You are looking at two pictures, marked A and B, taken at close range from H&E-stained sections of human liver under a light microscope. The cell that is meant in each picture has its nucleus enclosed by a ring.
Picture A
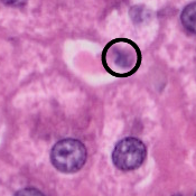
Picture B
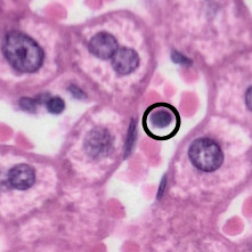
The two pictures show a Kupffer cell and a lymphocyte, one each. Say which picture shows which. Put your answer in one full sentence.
The cell in picture A is a Kupffer cell, and the one in picture B is a lymphocyte.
